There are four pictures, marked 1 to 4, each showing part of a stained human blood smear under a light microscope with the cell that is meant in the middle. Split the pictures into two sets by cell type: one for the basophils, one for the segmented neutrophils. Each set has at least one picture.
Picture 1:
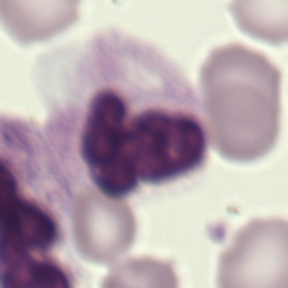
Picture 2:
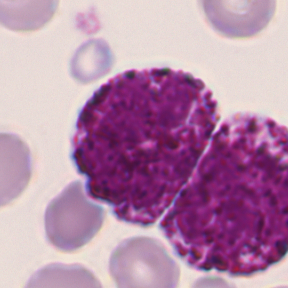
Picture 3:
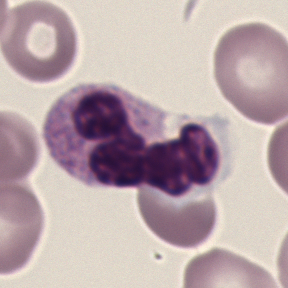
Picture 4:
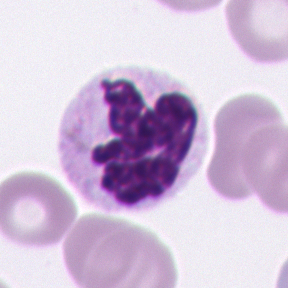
1: segmented neutrophil
2: basophil
3: segmented neutrophil
4: segmented neutrophil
